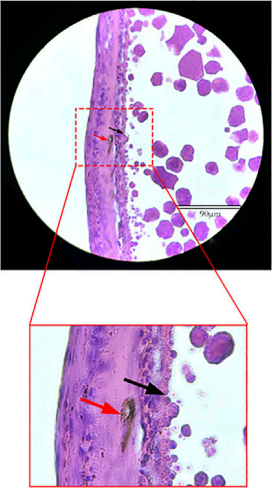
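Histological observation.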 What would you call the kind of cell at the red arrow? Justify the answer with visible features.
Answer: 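Melanocytes. The arrow points to an elongated cell filled with dark brown pigment. The pigmented cell lies within the pink layered wall.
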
